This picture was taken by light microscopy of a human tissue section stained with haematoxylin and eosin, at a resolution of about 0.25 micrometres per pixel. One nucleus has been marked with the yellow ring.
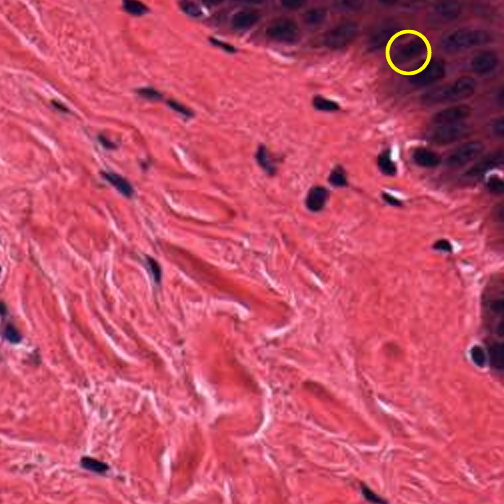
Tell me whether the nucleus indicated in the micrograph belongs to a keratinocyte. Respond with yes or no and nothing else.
yes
